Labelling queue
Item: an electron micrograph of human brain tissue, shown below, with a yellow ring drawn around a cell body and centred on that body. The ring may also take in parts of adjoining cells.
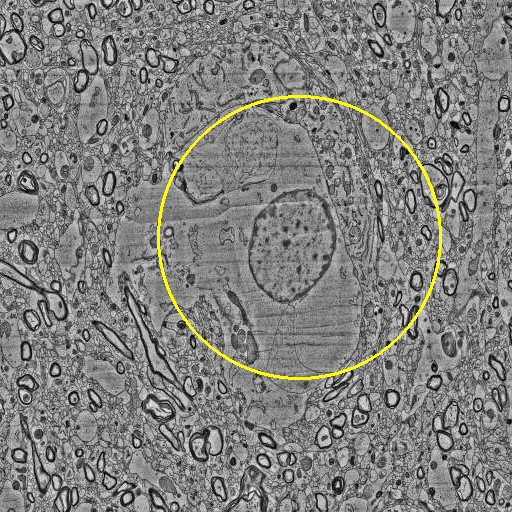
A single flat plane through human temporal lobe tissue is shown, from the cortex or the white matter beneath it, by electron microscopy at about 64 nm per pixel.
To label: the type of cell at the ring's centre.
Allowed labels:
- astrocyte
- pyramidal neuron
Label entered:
astrocyte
